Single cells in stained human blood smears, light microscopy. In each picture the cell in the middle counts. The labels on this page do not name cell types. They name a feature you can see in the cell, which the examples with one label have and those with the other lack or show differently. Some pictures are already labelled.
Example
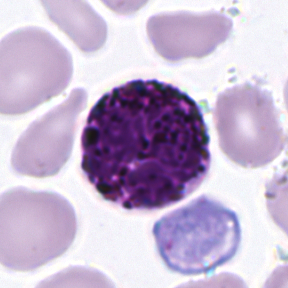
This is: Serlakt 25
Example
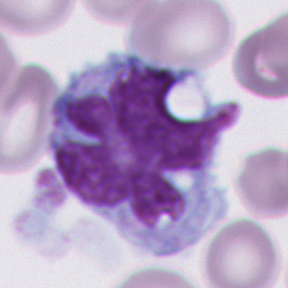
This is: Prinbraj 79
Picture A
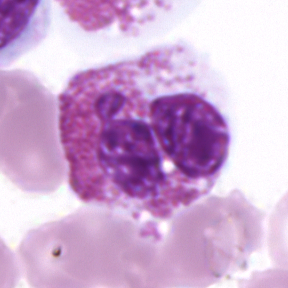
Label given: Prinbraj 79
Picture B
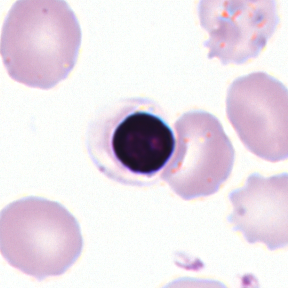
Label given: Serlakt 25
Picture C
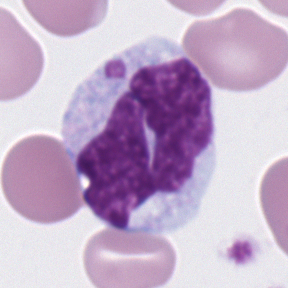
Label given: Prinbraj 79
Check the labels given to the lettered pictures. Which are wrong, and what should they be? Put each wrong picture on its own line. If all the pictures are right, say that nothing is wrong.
C: not Prinbraj 79 but Serlakt 25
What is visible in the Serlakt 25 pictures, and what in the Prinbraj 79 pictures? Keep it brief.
Serlakt 25, smooth outline; Prinbraj 79, ragged outline or projections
